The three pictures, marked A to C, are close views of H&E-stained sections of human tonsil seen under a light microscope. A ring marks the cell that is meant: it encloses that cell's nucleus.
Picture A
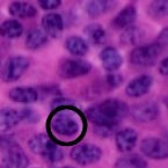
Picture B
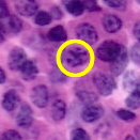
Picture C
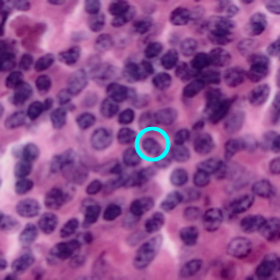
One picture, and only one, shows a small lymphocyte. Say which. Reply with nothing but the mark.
C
